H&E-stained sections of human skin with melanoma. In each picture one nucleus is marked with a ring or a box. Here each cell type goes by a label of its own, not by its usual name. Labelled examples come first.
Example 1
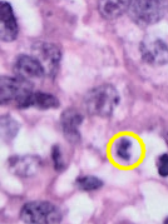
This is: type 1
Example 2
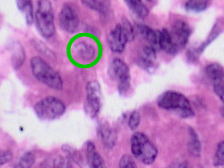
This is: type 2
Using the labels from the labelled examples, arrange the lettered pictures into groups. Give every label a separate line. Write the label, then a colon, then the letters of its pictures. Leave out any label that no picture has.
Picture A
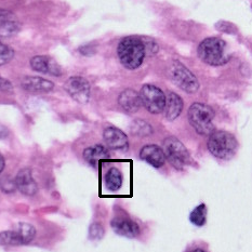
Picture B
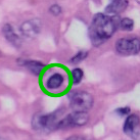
type 1: A, B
